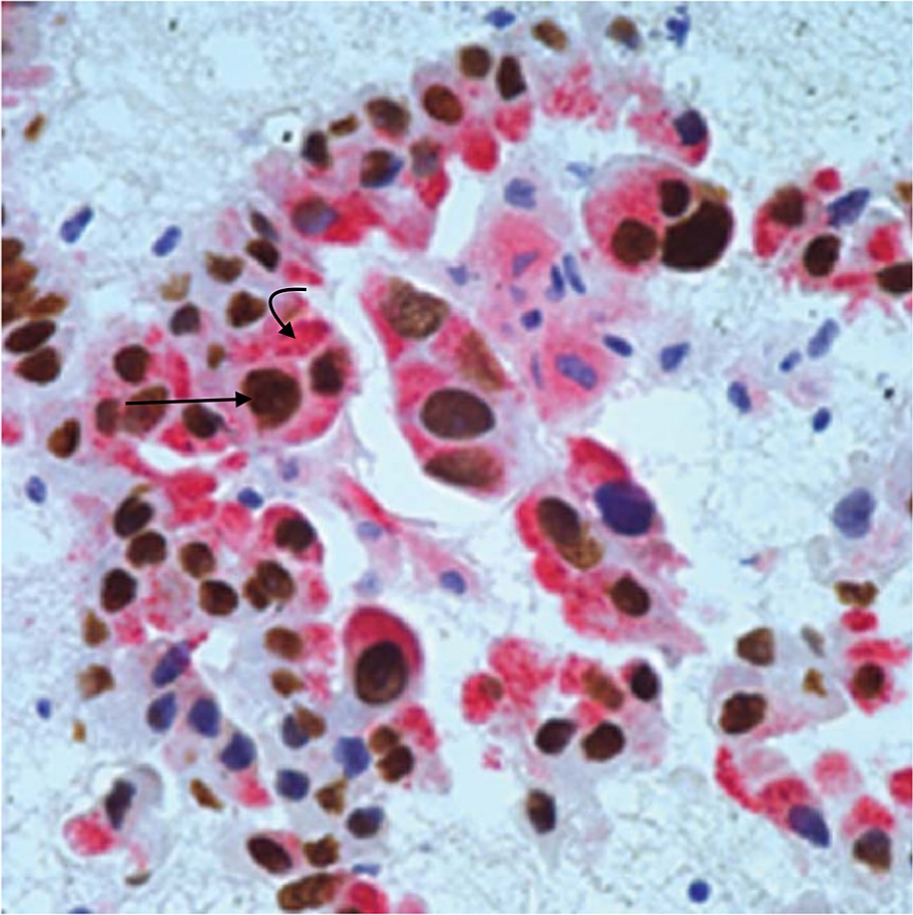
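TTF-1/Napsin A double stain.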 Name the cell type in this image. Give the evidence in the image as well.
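Malignant cells. Large cells with large, rounded nuclei form loose clusters. Nuclei vary in size and some cells hold more than one nucleus. Small blue-stained background cells are far smaller than the large clustered cells.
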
